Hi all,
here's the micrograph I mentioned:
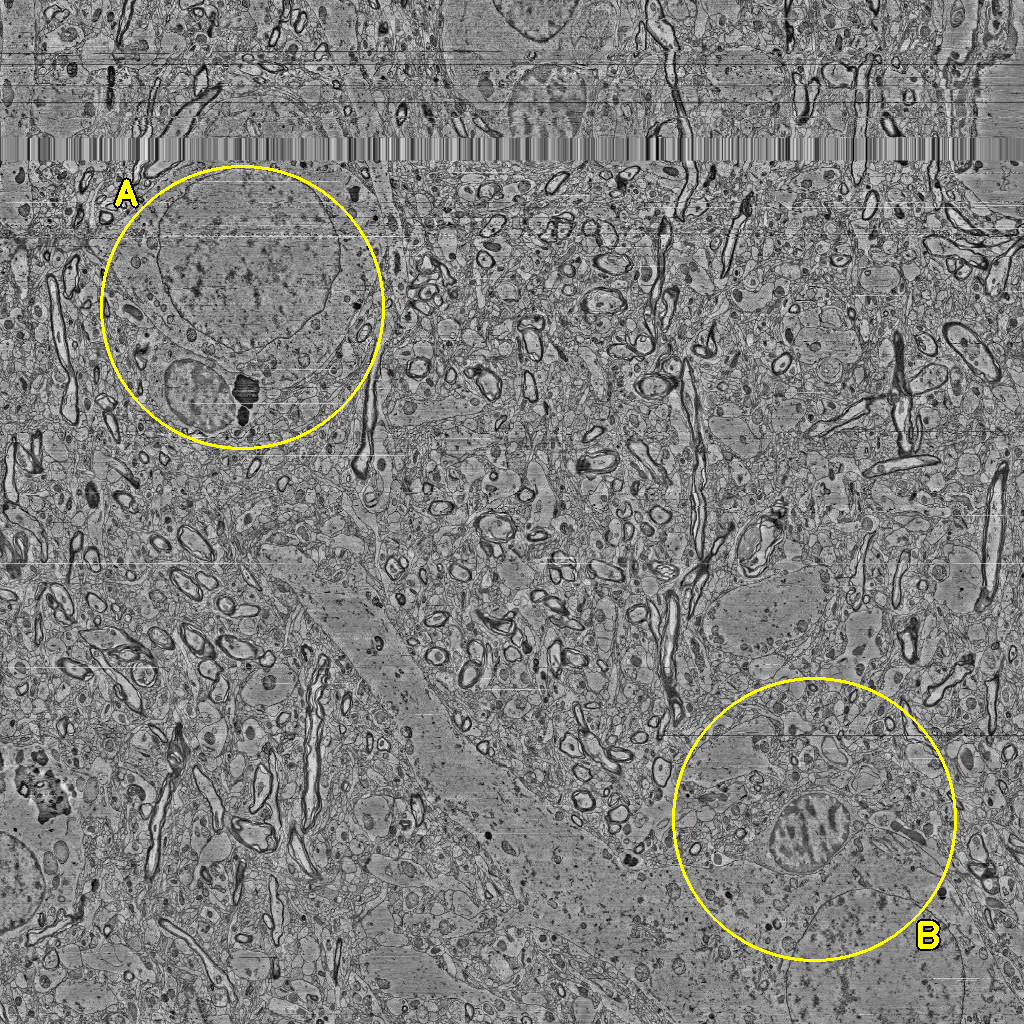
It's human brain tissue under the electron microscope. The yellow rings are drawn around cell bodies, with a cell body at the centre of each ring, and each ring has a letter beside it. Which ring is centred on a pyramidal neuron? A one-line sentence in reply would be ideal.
It's the one labelled A.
